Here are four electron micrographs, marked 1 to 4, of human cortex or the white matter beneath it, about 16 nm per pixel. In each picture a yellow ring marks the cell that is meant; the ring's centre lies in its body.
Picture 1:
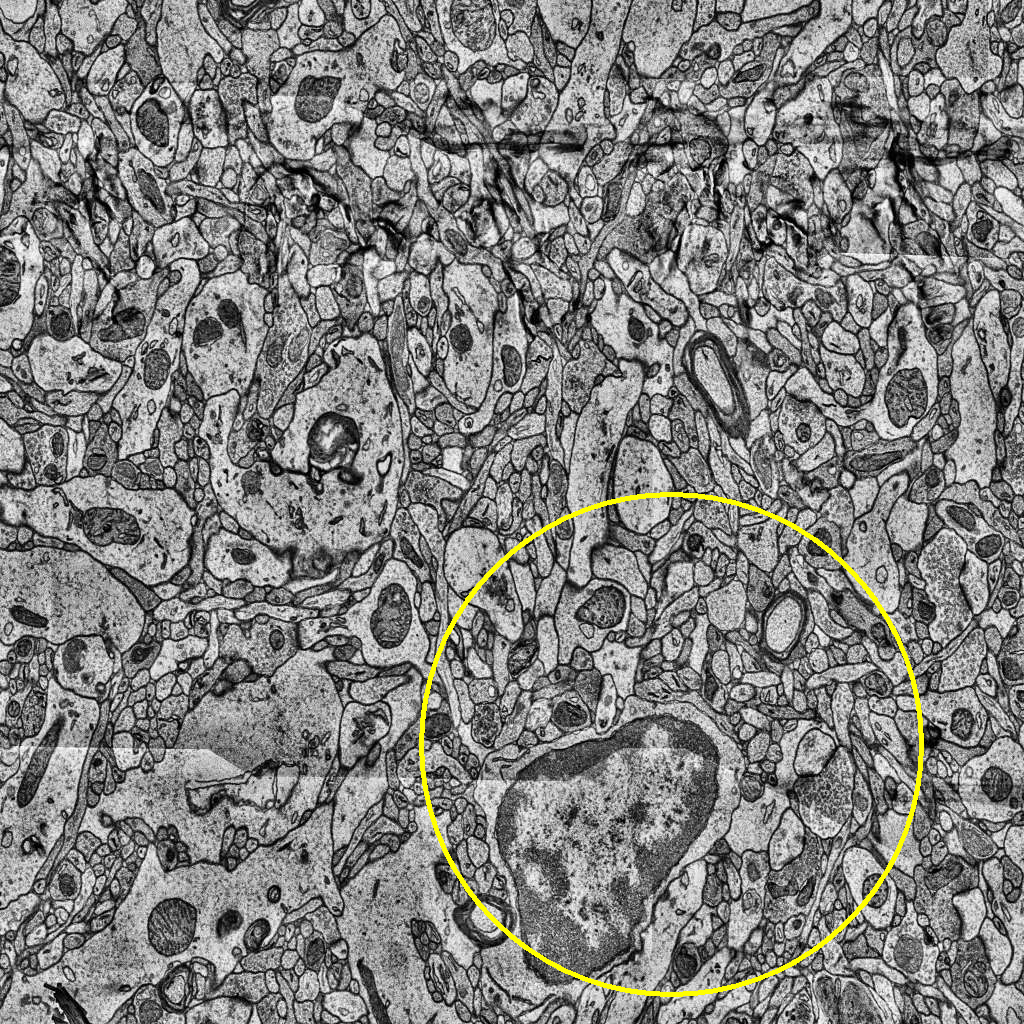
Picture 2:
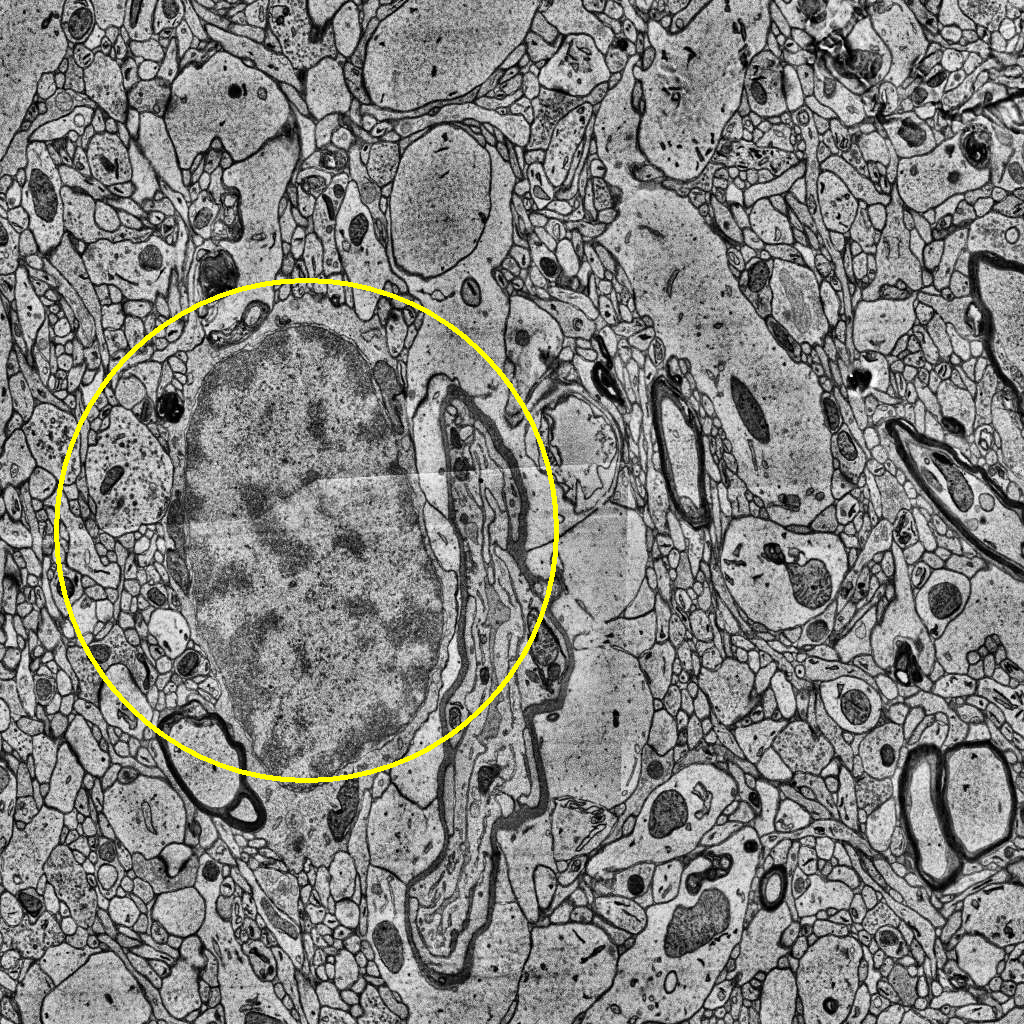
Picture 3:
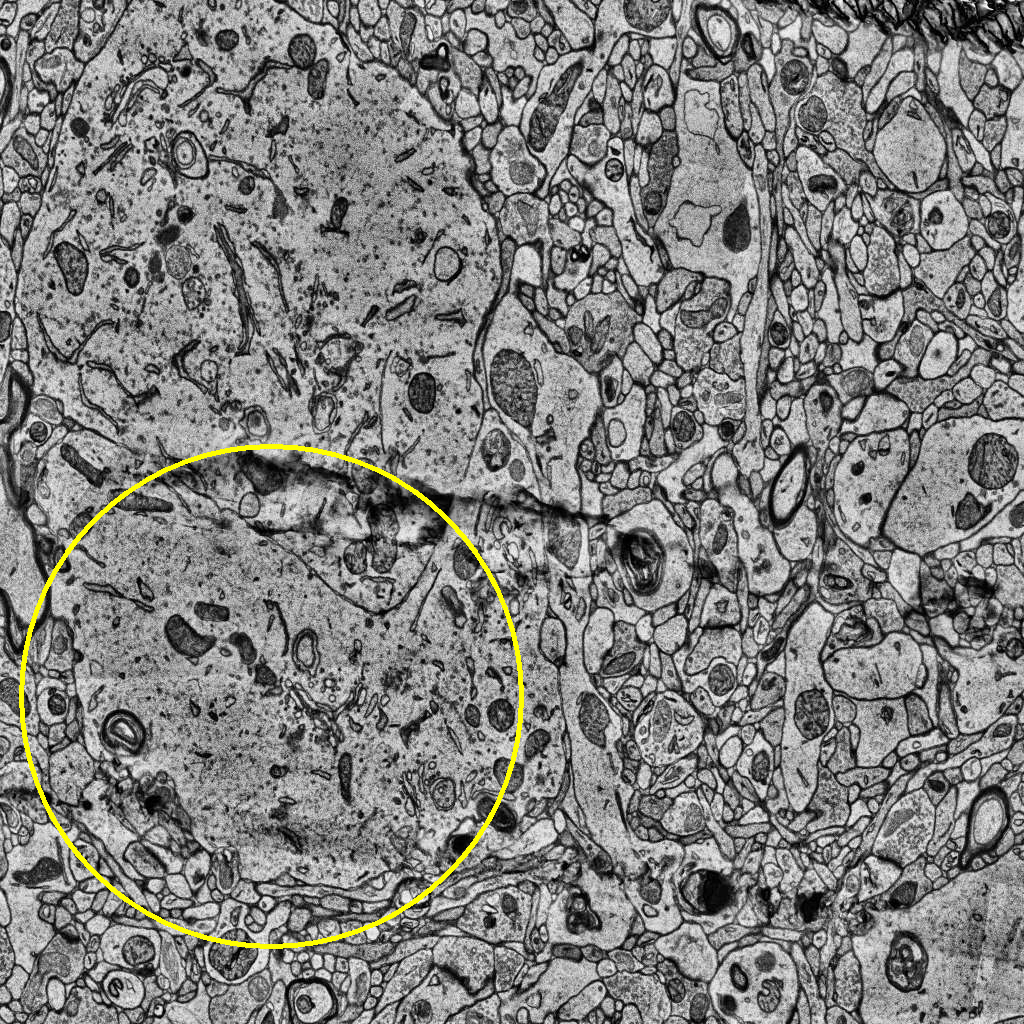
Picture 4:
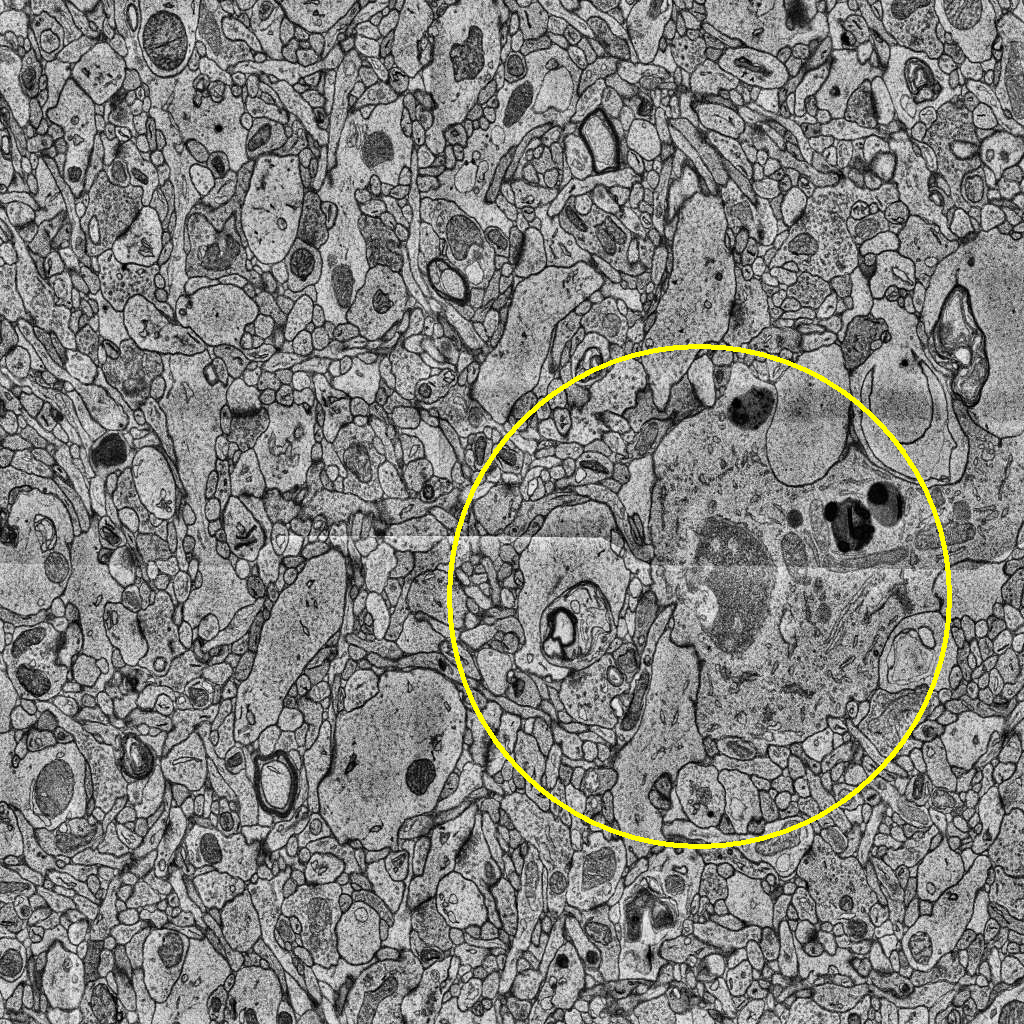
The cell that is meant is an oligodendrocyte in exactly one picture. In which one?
The oligodendrocyte is the one in picture 2.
